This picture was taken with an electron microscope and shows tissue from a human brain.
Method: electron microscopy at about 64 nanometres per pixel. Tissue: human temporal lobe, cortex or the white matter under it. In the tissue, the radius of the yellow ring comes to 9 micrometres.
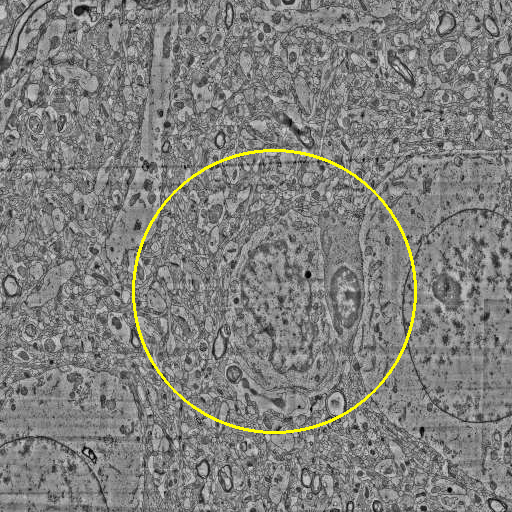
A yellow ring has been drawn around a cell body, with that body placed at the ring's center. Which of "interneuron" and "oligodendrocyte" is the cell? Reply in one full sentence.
In this picture, an interneuron is the cell at the center of the yellow ring.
